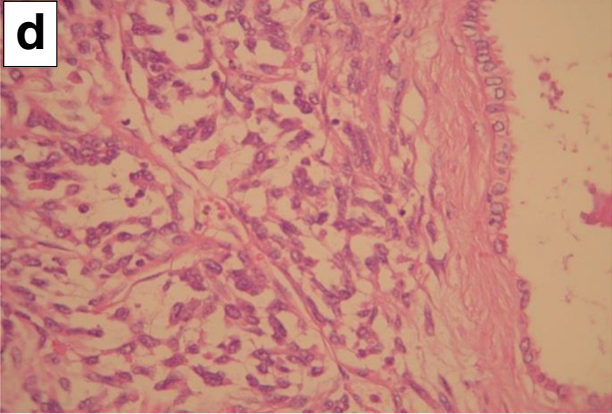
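Loosely spaced spindle and oval cells with dark, oval nuclei and scant pale pink cytoplasm lie scattered in a pale, open background, with thin wispy pink fibres running between them. Along the right edge a space is lined by a single row of tall cells with nuclei in a line.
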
